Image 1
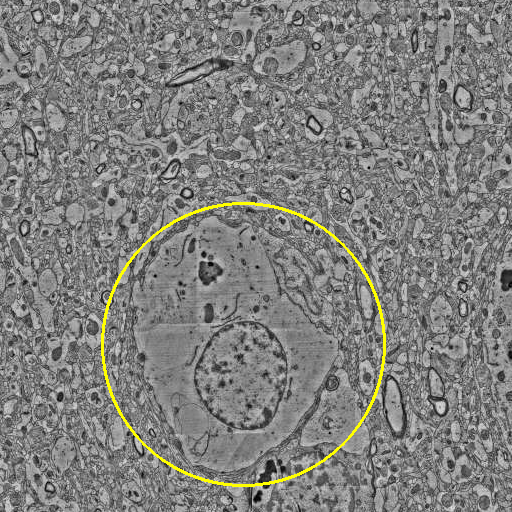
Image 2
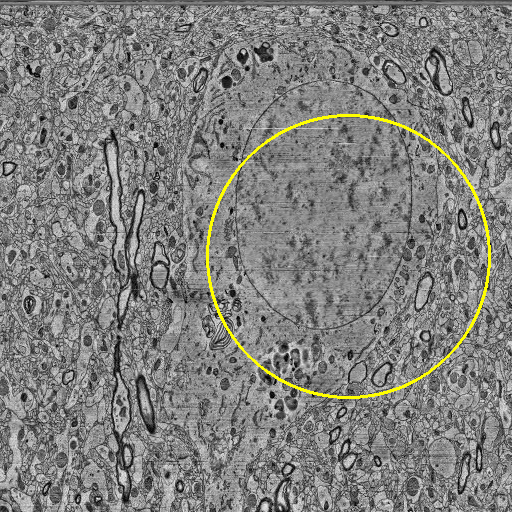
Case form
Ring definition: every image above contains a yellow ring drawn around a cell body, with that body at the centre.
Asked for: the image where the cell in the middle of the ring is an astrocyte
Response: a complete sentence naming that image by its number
Image 1 is the one.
